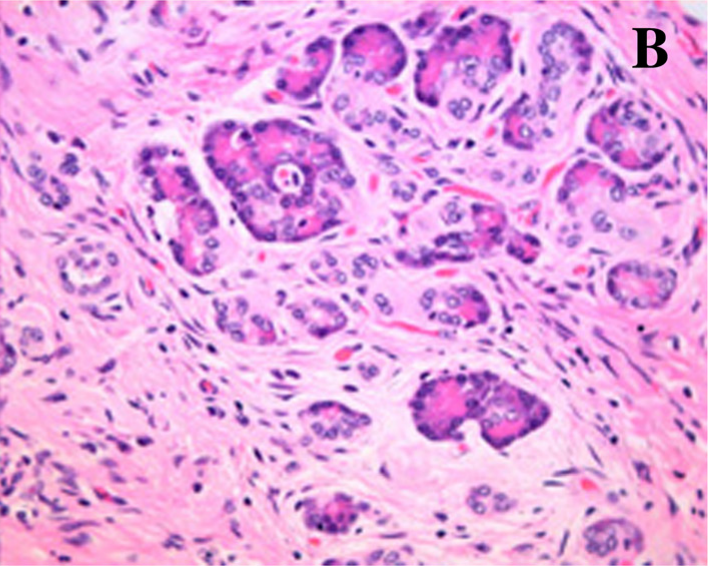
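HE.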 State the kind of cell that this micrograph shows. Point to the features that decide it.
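Acinar cells. Cells form small rounded clusters around tiny central lumina.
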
